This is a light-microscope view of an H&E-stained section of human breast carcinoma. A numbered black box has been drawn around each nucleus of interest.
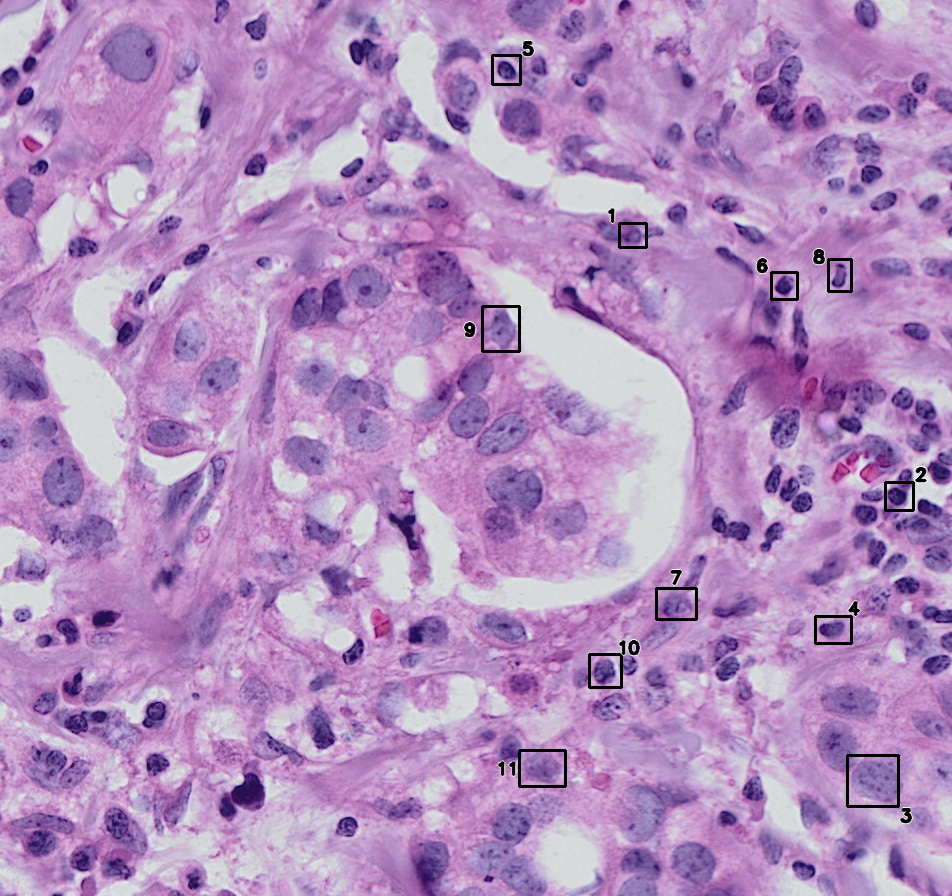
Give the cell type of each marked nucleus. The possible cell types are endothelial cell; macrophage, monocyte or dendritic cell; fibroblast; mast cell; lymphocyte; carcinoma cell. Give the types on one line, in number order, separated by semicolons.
endothelial cell; lymphocyte; carcinoma cell; lymphocyte; lymphocyte; lymphocyte; endothelial cell; lymphocyte; carcinoma cell; lymphocyte; carcinoma cell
